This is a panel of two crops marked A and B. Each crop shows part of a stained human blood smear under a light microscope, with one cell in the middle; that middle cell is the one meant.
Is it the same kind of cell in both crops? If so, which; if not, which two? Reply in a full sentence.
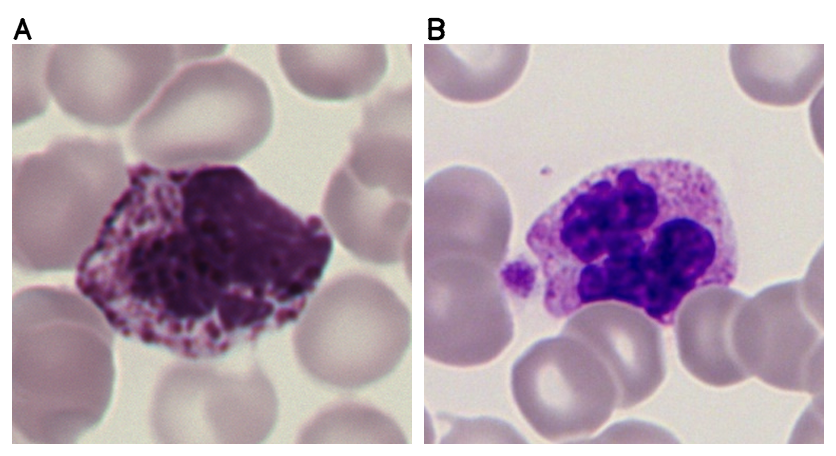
Yes, basophils are the cells in the middle of both crops.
